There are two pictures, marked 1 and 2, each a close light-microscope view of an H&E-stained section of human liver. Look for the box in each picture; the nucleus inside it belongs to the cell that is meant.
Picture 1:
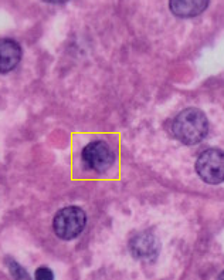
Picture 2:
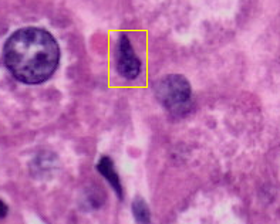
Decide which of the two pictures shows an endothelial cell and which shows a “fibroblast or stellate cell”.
1: endothelial cell
2: fibroblast or stellate cell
